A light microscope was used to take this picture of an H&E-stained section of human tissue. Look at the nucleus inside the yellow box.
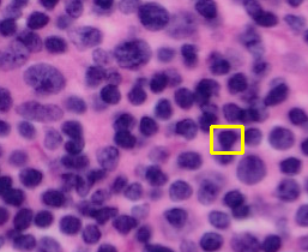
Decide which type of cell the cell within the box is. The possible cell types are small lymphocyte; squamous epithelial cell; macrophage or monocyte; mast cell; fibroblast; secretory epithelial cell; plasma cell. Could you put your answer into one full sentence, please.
Labelled by cell type, the cell within the box is a small lymphocyte.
